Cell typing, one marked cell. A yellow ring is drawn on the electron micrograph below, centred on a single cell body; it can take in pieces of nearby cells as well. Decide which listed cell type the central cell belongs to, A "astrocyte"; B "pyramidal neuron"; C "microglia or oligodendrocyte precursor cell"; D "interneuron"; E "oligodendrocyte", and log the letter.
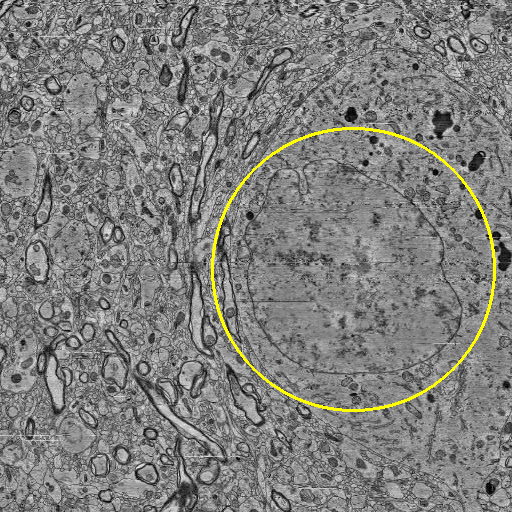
B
